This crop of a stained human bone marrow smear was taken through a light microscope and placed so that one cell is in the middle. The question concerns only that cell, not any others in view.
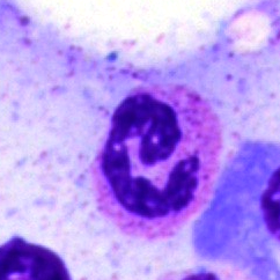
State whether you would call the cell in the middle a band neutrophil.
no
